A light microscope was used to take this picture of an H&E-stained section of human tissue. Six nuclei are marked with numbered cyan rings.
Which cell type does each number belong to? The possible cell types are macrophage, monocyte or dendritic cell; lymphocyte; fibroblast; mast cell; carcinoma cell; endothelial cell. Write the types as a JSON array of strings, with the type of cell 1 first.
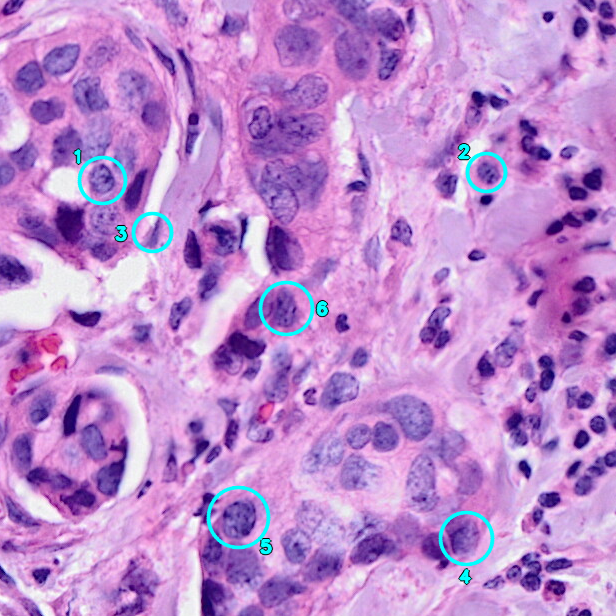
["carcinoma cell", "mast cell", "fibroblast", "carcinoma cell", "carcinoma cell", "carcinoma cell"]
